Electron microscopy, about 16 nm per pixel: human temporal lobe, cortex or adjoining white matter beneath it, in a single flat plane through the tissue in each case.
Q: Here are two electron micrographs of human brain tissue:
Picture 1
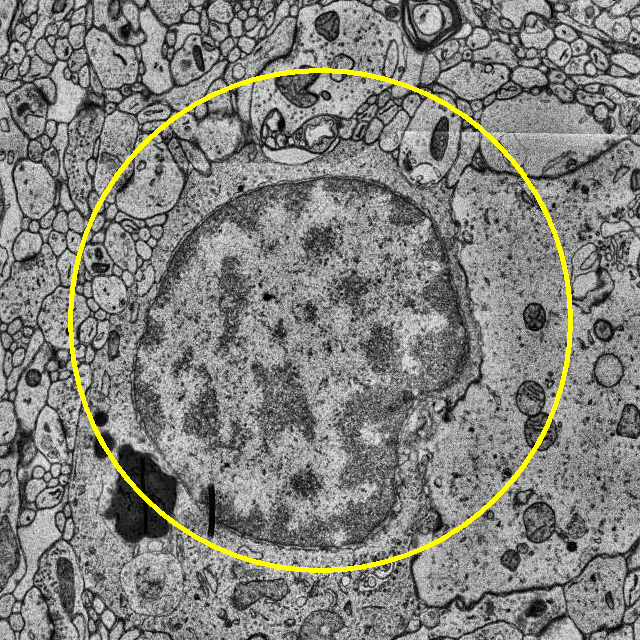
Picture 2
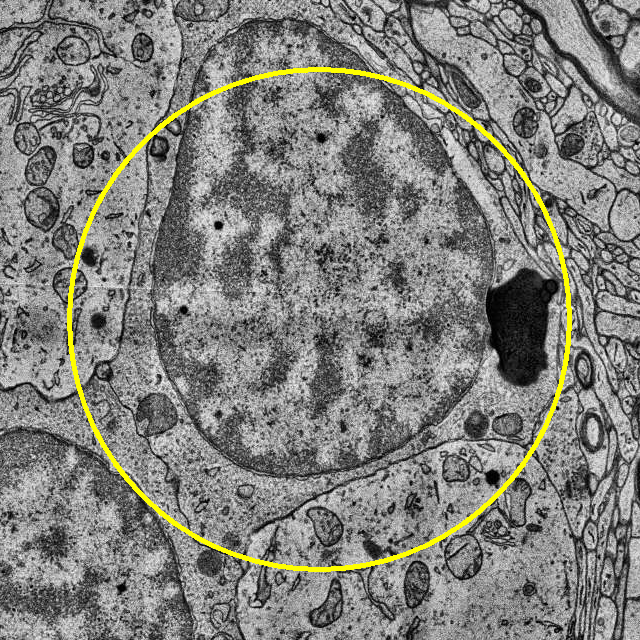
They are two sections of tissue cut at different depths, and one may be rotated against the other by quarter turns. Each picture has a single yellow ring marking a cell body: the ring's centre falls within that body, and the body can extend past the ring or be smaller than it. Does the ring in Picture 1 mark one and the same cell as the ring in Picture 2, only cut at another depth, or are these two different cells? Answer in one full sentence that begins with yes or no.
No, the cells within these rings are two separate cells.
